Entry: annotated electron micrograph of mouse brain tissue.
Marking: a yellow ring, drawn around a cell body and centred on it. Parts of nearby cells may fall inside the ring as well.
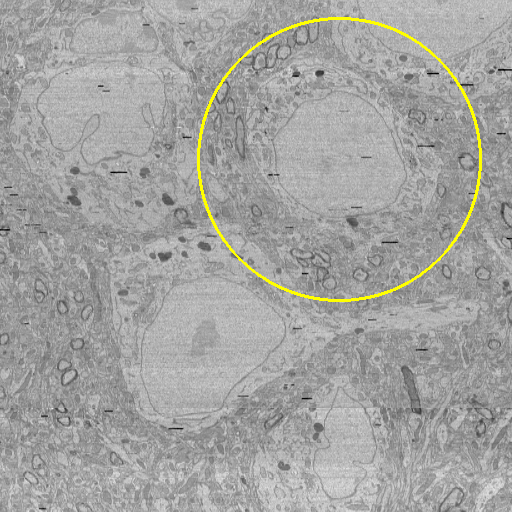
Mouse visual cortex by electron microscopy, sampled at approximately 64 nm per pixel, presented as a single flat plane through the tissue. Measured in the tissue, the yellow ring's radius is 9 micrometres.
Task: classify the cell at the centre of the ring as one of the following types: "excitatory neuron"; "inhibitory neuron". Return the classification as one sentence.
The marked cell is classified as an inhibitory neuron.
